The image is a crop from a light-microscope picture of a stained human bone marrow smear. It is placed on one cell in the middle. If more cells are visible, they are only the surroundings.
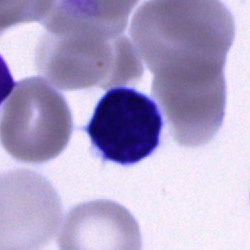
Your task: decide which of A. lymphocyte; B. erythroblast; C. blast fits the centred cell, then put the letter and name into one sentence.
Option A is to be chosen, as the central cell is a lymphocyte.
